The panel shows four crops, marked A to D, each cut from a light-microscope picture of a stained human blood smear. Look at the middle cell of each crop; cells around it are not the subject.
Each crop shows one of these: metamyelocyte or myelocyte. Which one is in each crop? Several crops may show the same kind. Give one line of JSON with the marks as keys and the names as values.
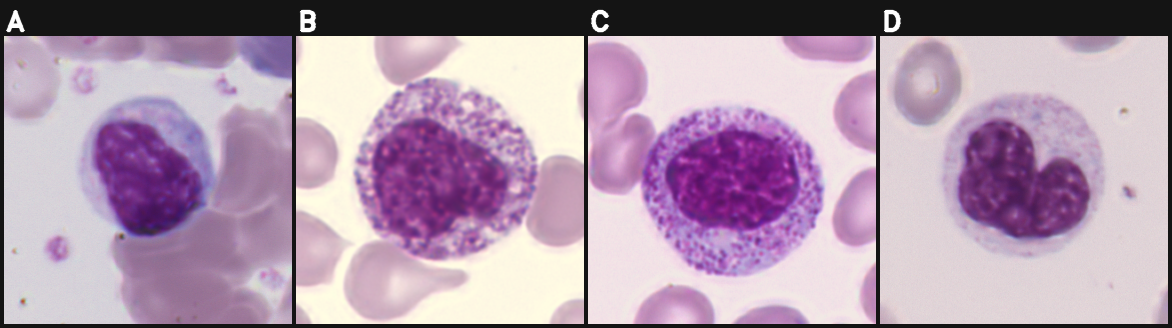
{"A": "metamyelocyte", "B": "myelocyte", "C": "myelocyte", "D": "metamyelocyte"}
